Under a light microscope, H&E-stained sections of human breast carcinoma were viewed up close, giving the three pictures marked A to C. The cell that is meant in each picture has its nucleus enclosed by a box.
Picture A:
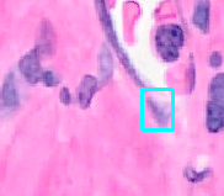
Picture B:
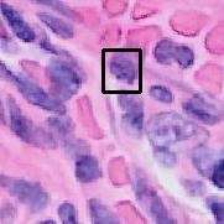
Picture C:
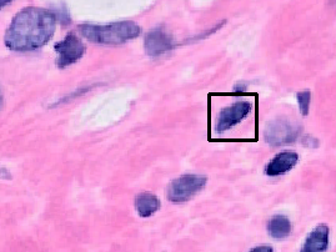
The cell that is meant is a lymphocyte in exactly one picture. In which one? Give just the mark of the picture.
C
